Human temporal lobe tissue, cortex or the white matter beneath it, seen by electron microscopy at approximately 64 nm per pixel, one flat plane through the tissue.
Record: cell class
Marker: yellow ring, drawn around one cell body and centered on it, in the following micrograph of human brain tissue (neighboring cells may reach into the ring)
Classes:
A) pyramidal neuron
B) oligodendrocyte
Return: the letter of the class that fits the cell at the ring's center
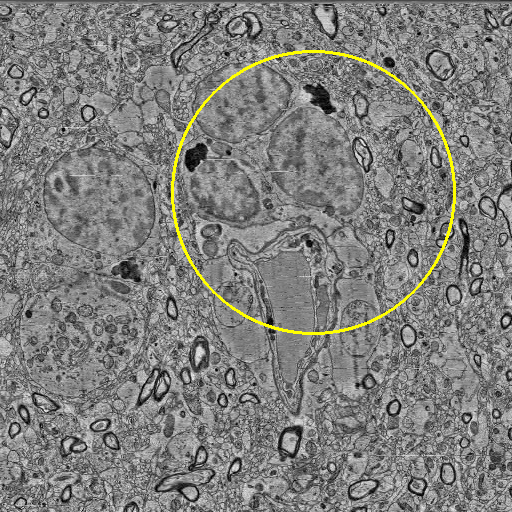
B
